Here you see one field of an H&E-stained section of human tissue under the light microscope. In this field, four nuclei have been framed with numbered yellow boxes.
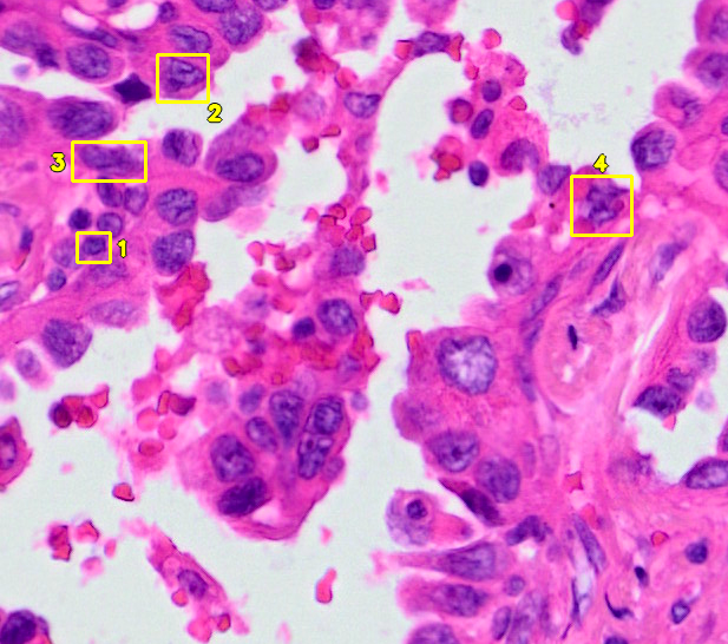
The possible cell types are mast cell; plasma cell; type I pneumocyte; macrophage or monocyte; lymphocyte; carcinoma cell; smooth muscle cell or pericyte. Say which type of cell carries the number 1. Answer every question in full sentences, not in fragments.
In this section, number 1 marks a lymphocyte.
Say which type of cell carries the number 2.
The correct answer for cell 2 is a carcinoma cell.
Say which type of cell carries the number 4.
Number 4 among the marked cells is a carcinoma cell.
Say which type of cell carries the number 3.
The one labeled 3 is a carcinoma cell, to put it simply.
